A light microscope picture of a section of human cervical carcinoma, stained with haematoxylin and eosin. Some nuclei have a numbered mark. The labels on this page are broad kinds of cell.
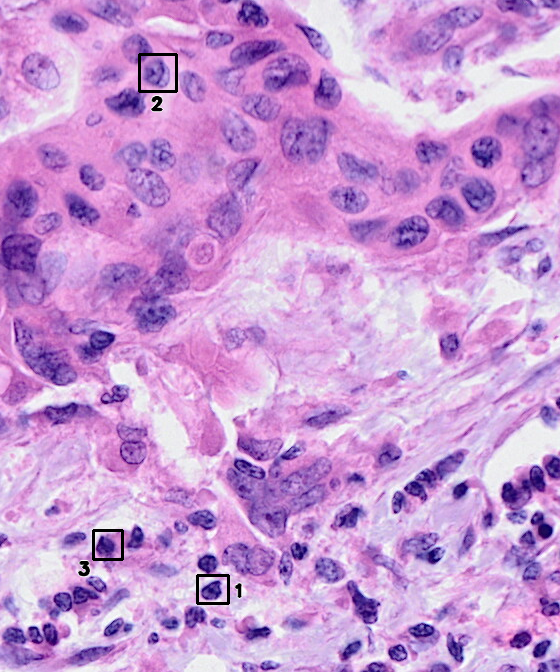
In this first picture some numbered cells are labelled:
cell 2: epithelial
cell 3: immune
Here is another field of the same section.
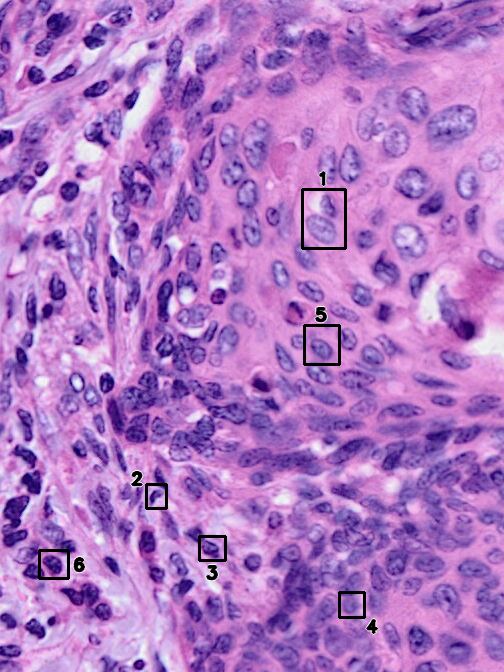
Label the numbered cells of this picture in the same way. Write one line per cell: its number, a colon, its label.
1: epithelial
2: immune
3: immune
4: epithelial
5: epithelial
6: immune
